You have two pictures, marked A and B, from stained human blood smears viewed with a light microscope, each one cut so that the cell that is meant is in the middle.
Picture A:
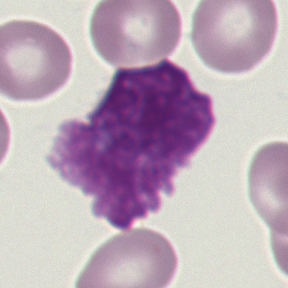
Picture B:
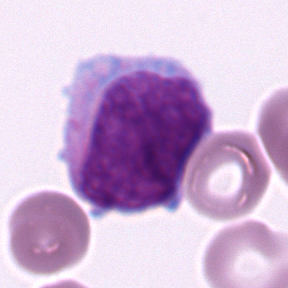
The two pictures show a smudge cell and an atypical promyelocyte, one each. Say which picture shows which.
A: smudge cell
B: atypical promyelocyte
